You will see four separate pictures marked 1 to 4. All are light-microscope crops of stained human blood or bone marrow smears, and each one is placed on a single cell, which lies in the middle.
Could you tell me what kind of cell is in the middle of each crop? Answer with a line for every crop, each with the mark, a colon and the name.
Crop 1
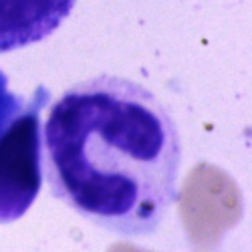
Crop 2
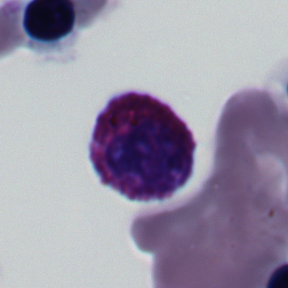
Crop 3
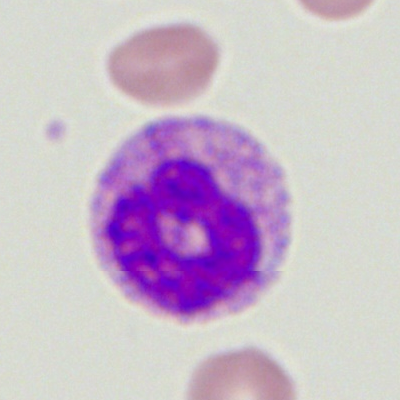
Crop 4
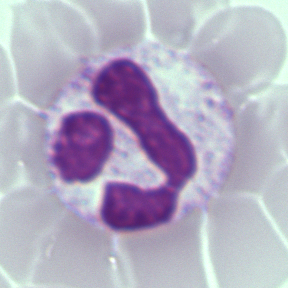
1: band neutrophil
2: eosinophil
3: band neutrophil
4: segmented neutrophil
